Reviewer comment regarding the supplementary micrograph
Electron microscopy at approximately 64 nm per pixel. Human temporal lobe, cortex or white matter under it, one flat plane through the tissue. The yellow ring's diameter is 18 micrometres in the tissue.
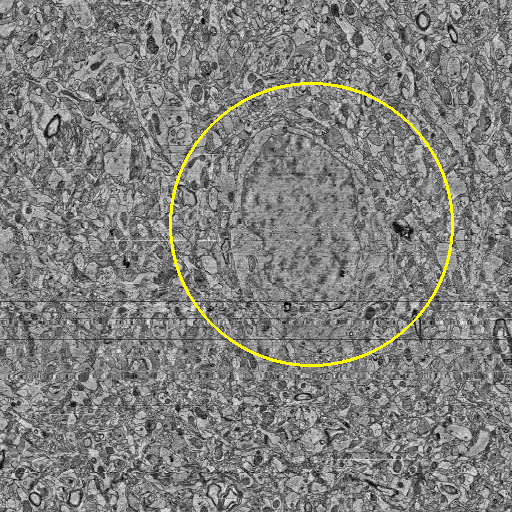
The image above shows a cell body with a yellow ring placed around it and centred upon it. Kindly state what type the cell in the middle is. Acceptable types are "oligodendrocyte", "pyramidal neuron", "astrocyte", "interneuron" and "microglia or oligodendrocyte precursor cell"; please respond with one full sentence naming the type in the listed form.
In the image above, the cell on which the yellow ring is centred is an interneuron.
